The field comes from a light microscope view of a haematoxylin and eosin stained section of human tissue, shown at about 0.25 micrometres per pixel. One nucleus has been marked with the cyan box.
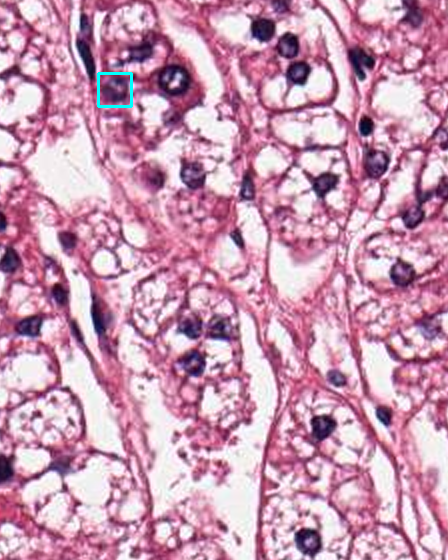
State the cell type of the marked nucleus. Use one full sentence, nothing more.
The nucleus singled out by the mark belongs to an adrenal cortical cell.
